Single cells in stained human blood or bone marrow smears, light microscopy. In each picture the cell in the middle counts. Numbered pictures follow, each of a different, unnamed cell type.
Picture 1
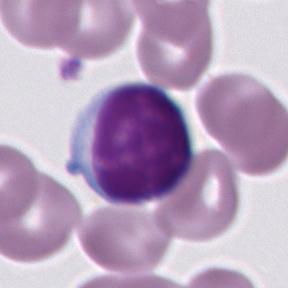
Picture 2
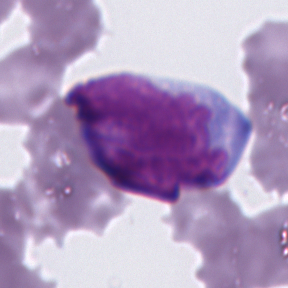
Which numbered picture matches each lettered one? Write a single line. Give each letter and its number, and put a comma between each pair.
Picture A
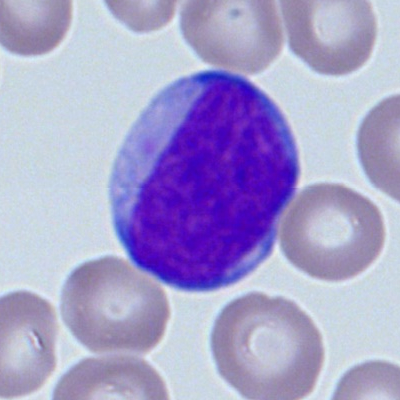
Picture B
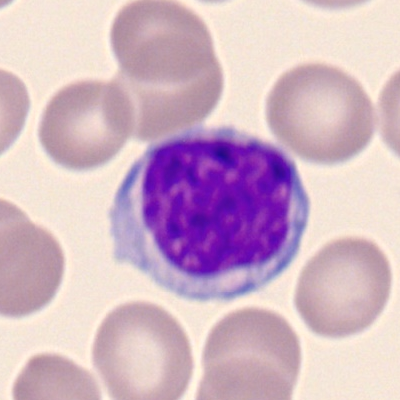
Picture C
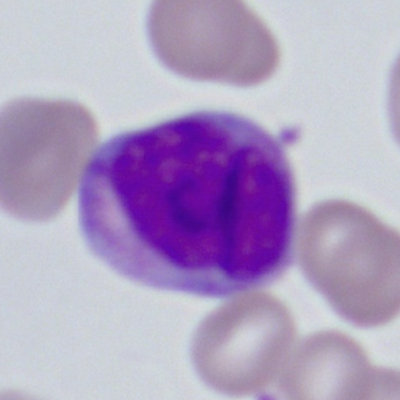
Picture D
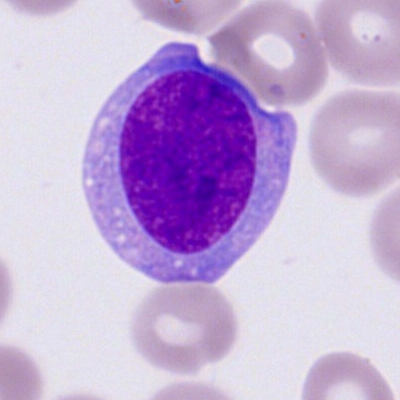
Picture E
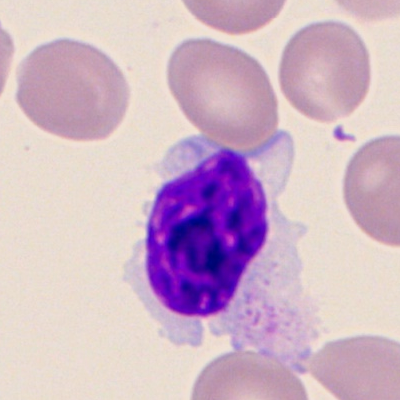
A 2, B 1, C 2, D 2, E 1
